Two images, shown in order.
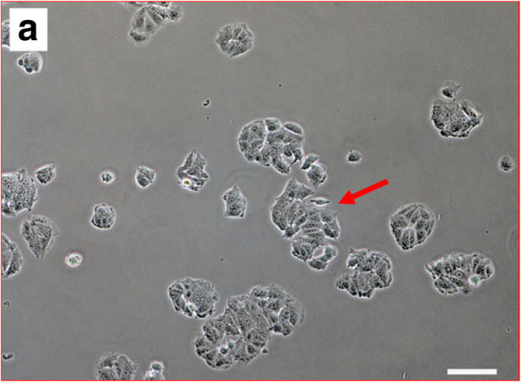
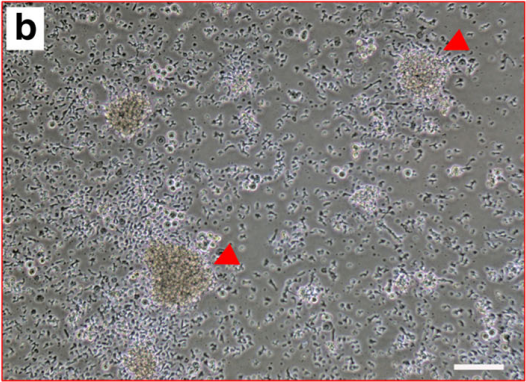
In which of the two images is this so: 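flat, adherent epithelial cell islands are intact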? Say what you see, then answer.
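Second image: no flat spread cell islands, only small round cells and granular clumps. First image: flat polygonal cells in tight islands on a clear background.
Answer: the first image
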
